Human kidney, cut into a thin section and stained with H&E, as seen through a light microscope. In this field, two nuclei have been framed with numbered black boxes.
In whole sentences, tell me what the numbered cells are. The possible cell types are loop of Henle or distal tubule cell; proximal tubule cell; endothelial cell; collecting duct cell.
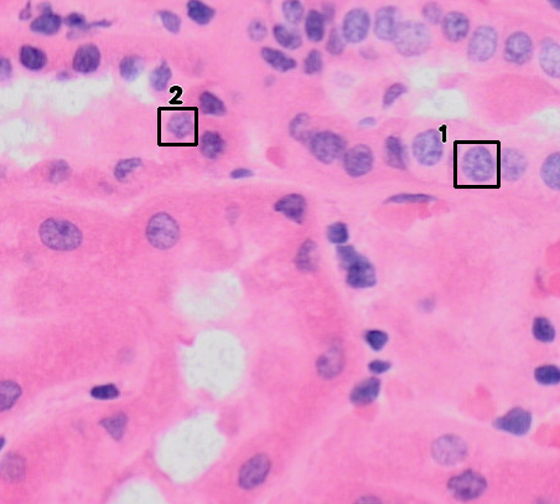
Cell 1 is a collecting duct cell. Cell 2 is a loop of Henle or distal tubule cell.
